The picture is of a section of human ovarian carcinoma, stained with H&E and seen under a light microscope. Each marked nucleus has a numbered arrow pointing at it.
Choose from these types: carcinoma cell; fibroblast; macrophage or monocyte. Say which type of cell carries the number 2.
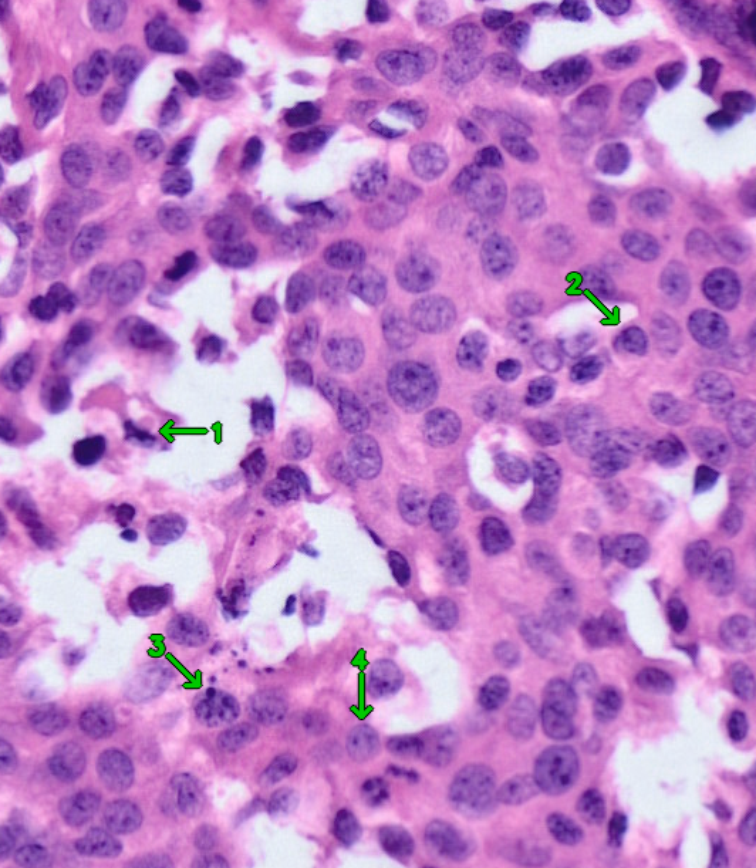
macrophage or monocyte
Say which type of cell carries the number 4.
carcinoma cell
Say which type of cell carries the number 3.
macrophage or monocyte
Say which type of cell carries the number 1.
macrophage or monocyte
